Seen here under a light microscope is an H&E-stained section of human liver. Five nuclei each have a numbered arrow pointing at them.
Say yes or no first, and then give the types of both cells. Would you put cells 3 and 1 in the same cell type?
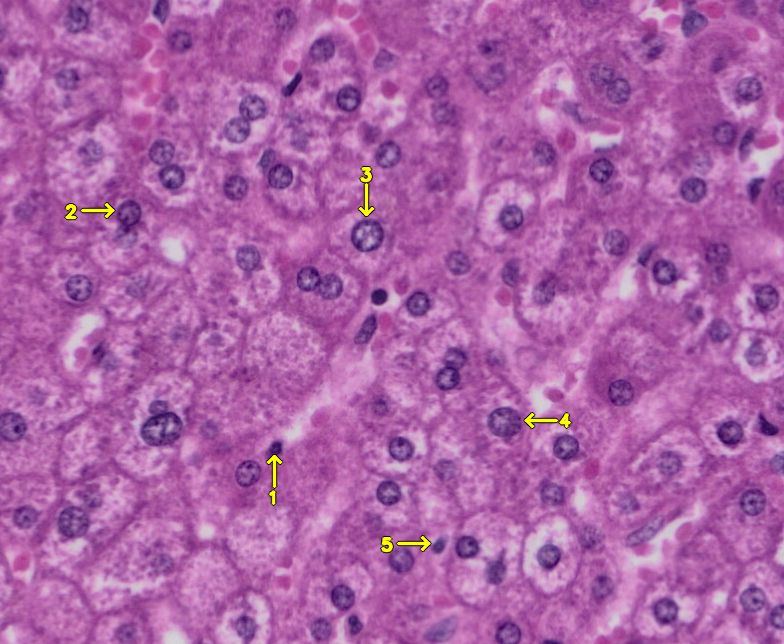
No, the cell numbered 3 is a hepatocyte and the cell numbered 1 is a lymphocyte.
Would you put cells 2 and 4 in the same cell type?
Yes, cells 2 and 4 have the same identity; both are hepatocytes.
